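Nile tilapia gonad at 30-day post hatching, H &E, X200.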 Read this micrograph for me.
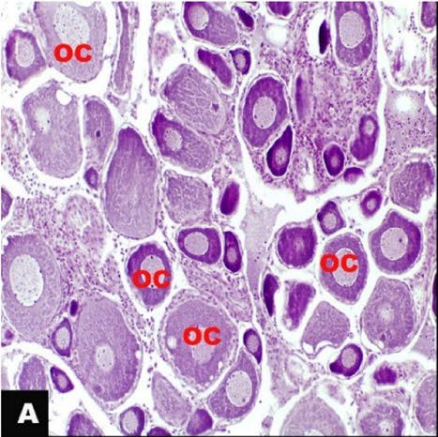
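Ovary filled with numerous round oocytes of varying size, separated by scant loose stroma. Larger oocytes have pale, lightly stained cytoplasm and a big round central nucleus, while smaller ones have deeply purple cytoplasm. Small stromal cells with dark nuclei lie between the oocytes.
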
